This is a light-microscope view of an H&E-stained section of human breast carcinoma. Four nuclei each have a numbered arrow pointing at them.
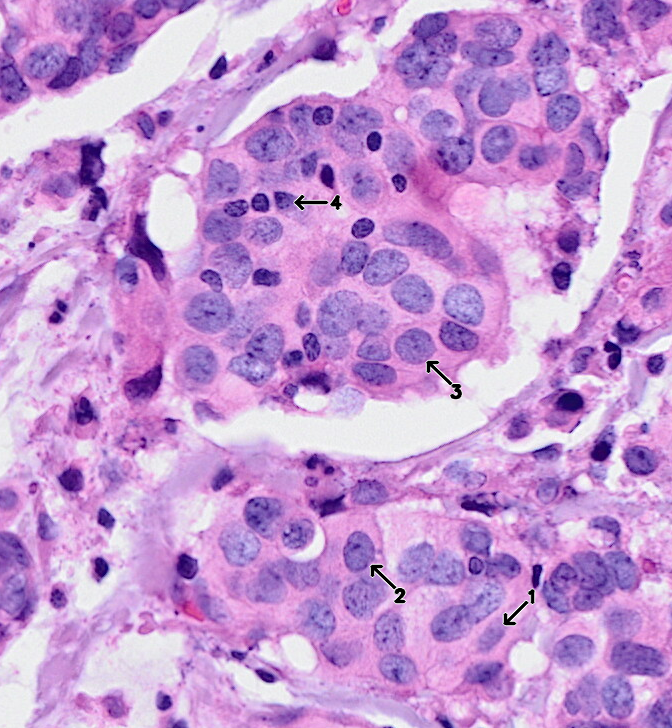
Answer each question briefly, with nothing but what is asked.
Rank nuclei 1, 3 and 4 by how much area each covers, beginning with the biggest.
3, 1, 4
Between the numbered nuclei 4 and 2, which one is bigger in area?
2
